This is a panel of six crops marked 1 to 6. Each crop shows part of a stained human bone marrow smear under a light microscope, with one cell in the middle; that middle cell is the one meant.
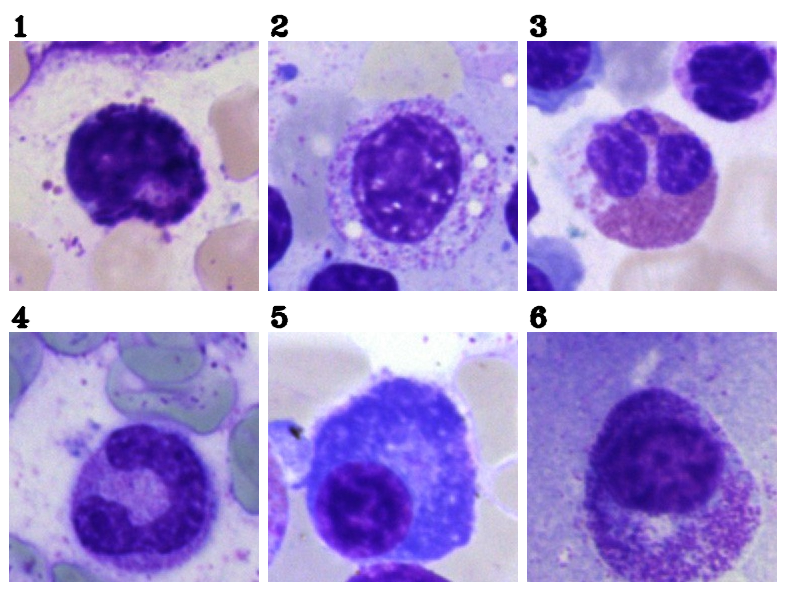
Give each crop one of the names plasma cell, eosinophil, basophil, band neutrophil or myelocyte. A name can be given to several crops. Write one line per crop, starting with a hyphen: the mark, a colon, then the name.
- 1: basophil
- 2: myelocyte
- 3: eosinophil
- 4: band neutrophil
- 5: plasma cell
- 6: myelocyte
